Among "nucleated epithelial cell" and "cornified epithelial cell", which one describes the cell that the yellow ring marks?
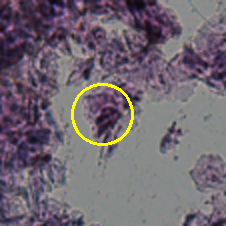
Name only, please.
cornified epithelial cell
